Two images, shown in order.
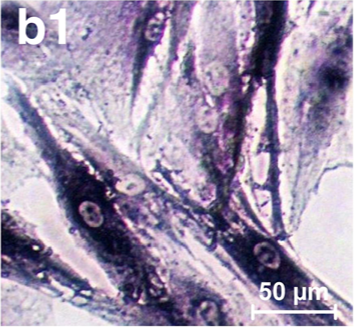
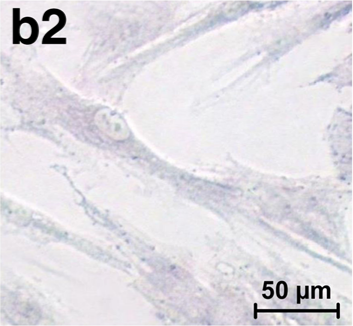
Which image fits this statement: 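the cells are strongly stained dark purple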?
The first image.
